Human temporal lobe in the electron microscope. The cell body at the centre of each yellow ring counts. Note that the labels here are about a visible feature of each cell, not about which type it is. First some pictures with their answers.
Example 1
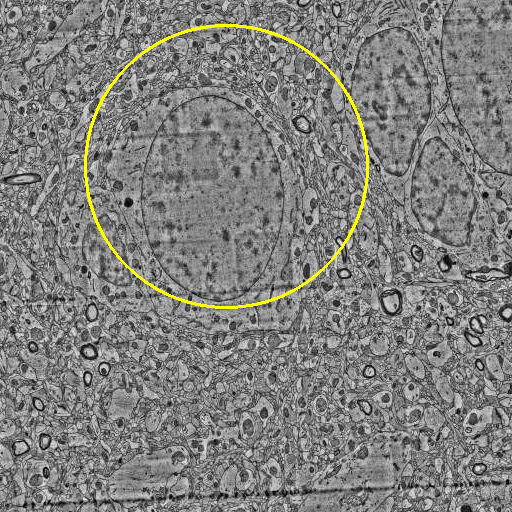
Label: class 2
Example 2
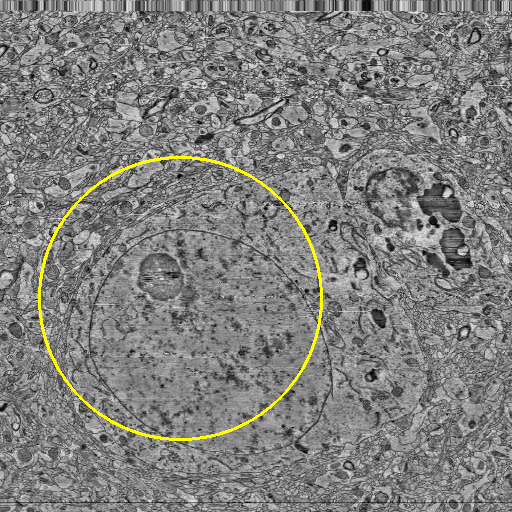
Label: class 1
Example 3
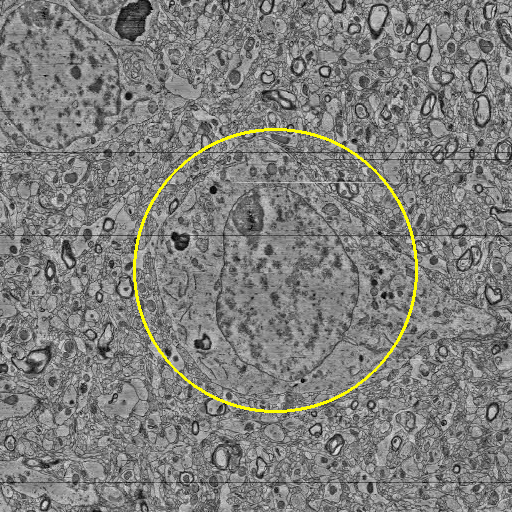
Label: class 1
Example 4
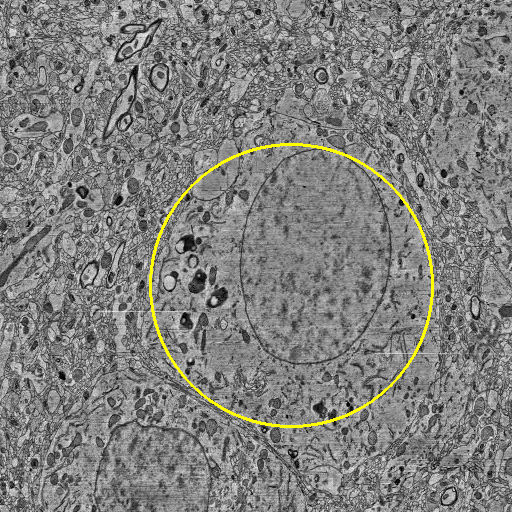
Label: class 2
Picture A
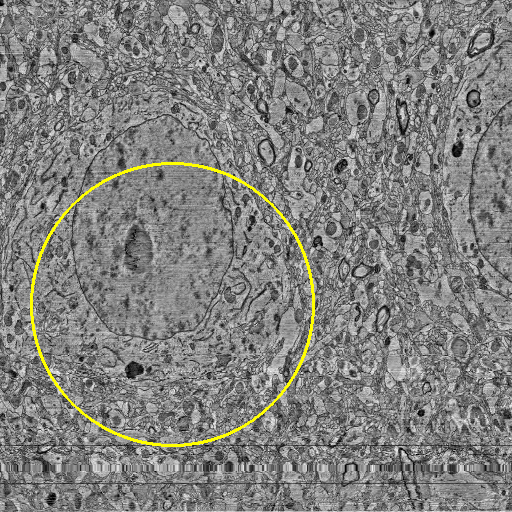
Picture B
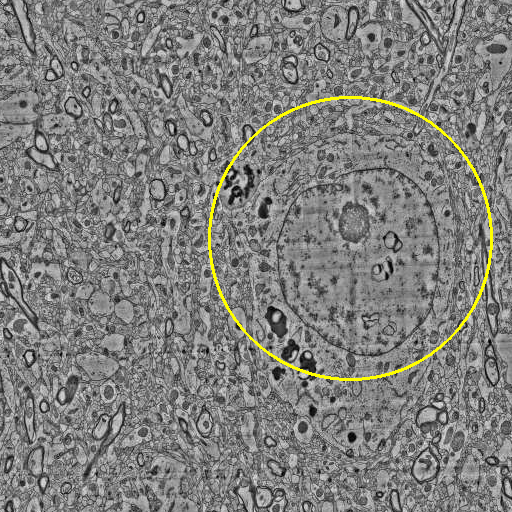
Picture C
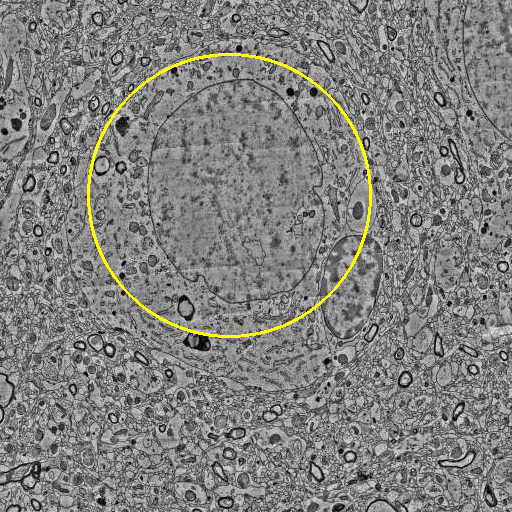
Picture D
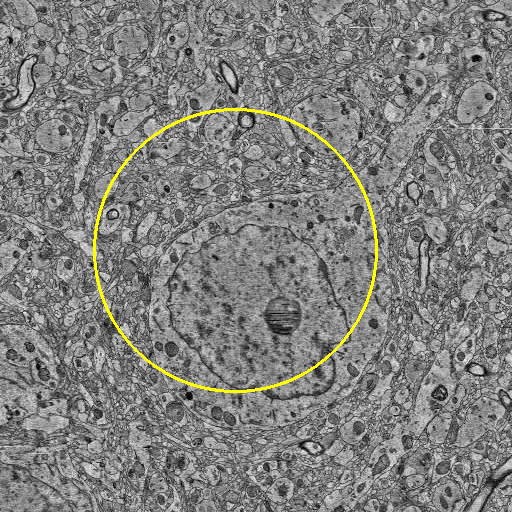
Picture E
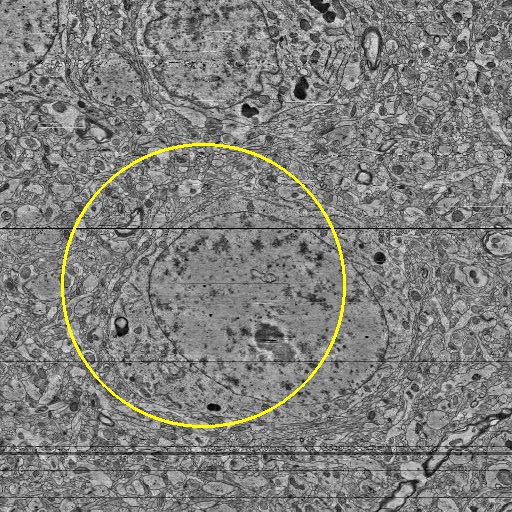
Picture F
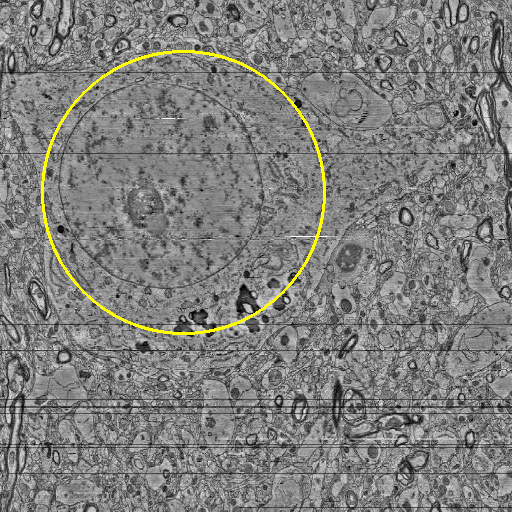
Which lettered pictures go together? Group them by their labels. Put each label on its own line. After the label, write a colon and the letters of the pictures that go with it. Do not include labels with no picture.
class 2: C
class 1: A, B, D, E, F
